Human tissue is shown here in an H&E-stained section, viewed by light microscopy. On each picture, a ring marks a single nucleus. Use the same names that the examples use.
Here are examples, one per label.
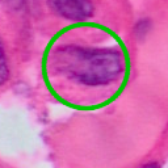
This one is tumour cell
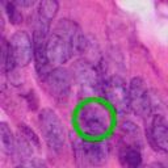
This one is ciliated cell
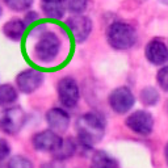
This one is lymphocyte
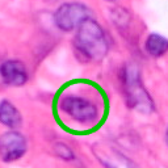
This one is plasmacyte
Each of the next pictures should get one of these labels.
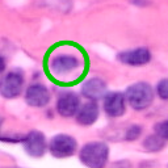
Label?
lymphocyte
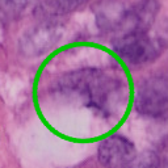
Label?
ciliated cell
